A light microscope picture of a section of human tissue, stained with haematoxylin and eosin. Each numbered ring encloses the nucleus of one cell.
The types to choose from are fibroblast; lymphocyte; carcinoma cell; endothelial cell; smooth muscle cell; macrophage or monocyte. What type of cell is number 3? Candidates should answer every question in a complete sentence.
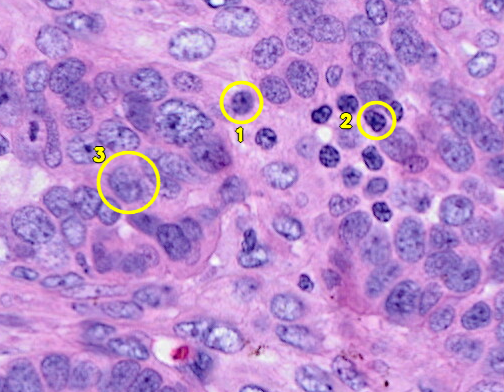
The correct answer for cell 3 is a carcinoma cell.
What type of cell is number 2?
In the marked set, the cell given number 2 is a lymphocyte.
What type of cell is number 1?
The cell bearing label 1 corresponds to a lymphocyte.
